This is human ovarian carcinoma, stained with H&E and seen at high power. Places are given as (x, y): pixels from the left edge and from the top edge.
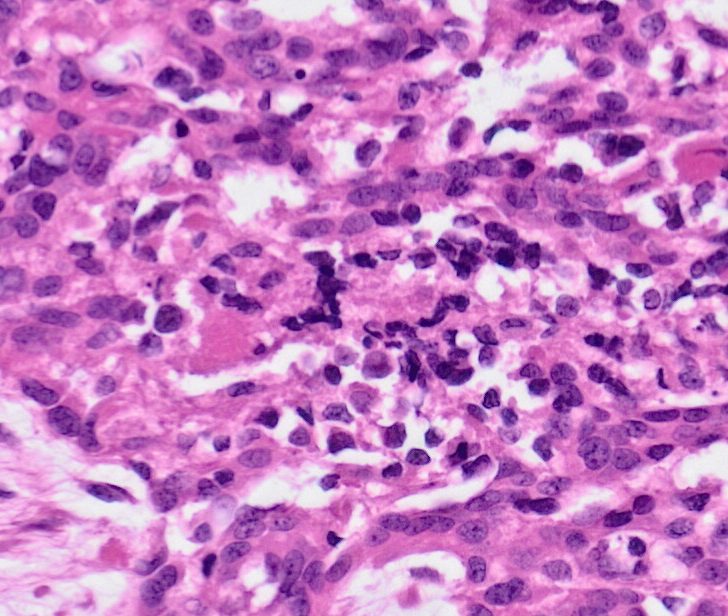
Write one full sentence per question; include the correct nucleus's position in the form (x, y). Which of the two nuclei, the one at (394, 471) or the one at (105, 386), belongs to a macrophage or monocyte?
Of the two nuclei, the one at (105, 386) belongs to a macrophage or monocyte.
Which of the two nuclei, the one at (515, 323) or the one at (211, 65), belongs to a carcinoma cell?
The nucleus at (211, 65) is housed in a carcinoma cell.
